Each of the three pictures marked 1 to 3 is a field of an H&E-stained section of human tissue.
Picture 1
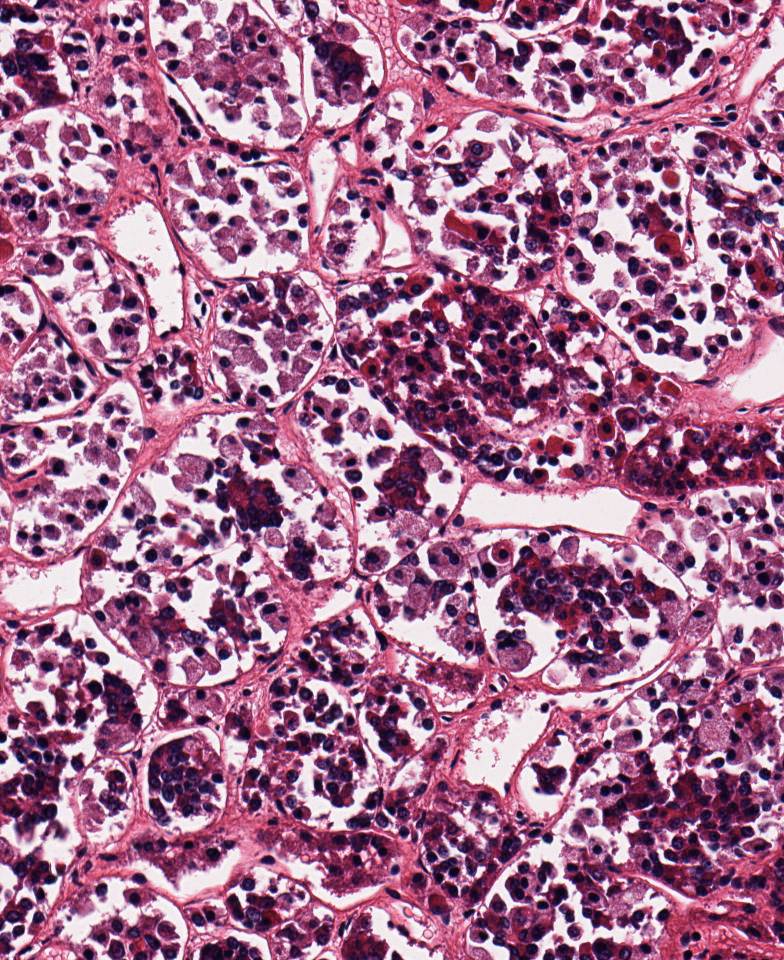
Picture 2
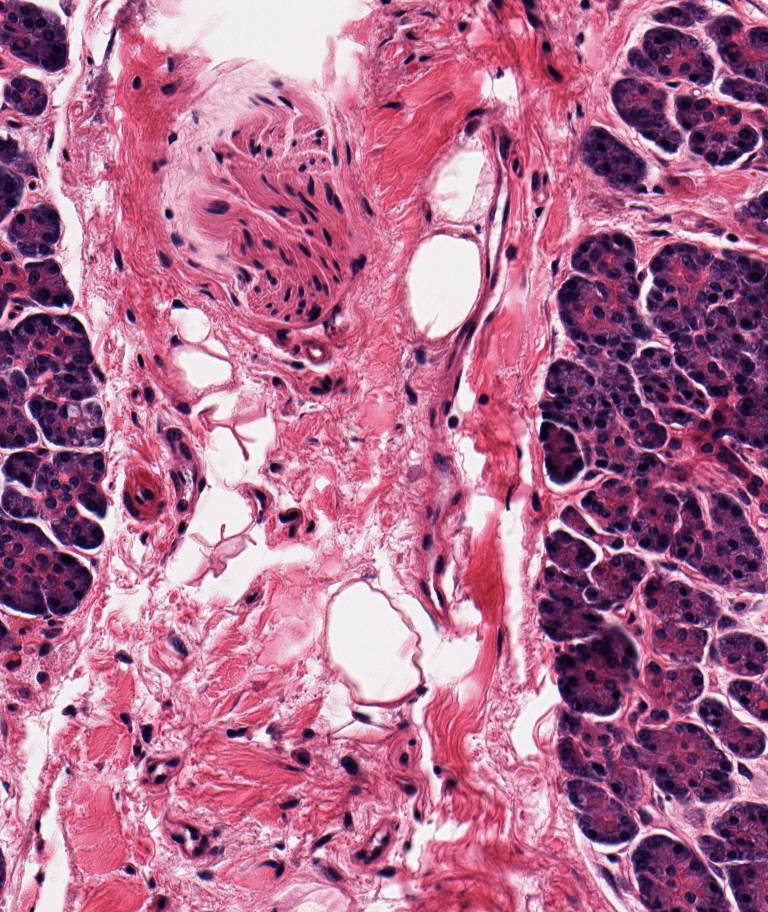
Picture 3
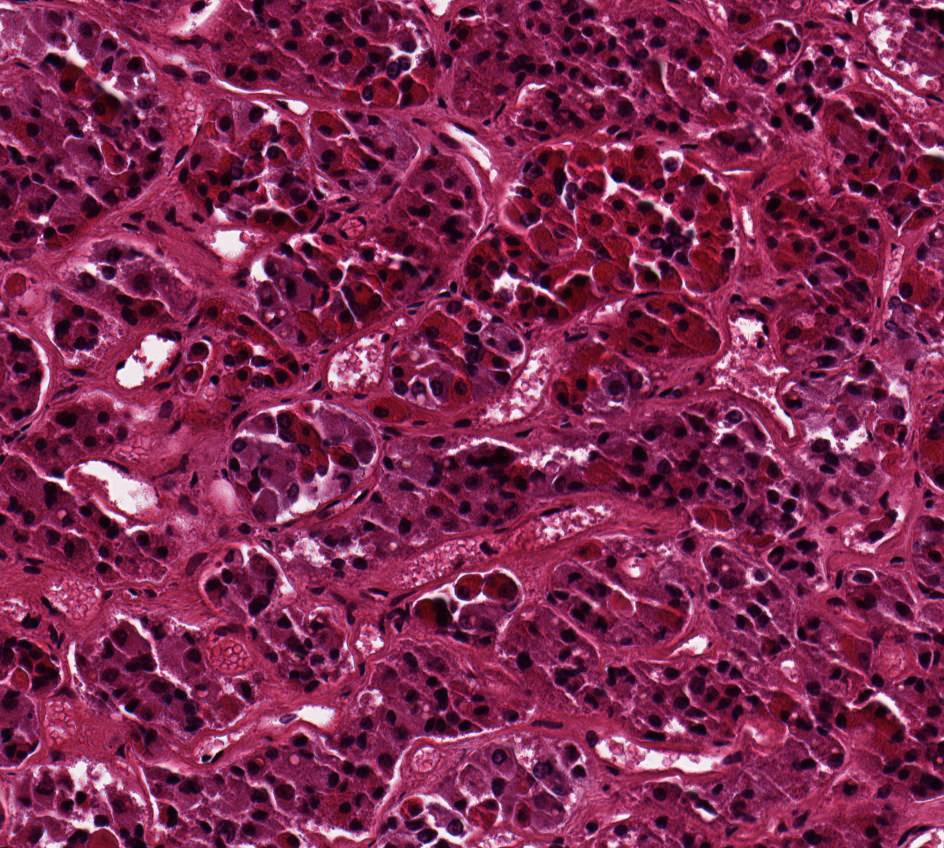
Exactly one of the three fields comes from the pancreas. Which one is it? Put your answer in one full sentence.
Picture 2 comes from the pancreas.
